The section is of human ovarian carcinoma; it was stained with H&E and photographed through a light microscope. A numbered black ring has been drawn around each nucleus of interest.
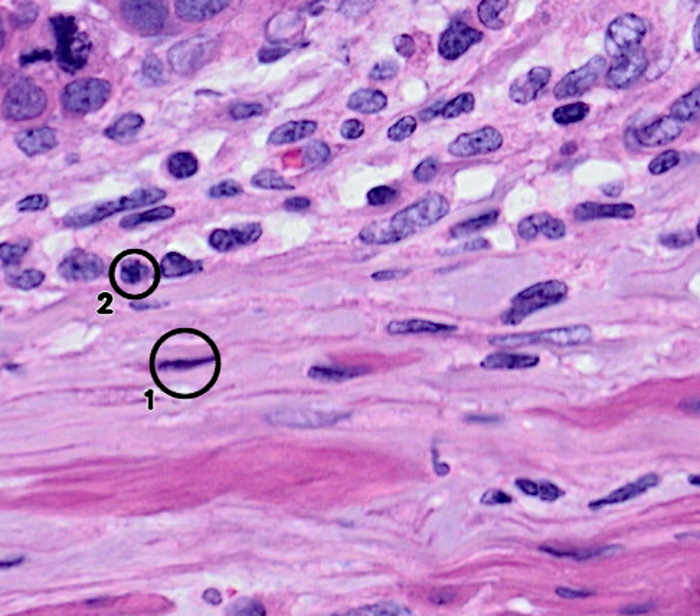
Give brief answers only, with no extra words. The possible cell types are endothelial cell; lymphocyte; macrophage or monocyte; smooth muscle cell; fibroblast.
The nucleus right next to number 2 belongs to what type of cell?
macrophage or monocyte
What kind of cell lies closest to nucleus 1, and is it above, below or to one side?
a macrophage or monocyte, above and to the left of nucleus 1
